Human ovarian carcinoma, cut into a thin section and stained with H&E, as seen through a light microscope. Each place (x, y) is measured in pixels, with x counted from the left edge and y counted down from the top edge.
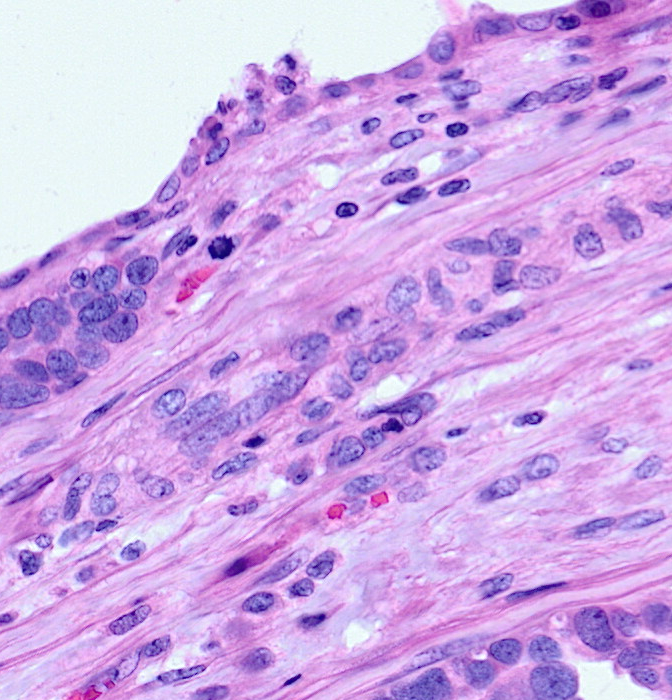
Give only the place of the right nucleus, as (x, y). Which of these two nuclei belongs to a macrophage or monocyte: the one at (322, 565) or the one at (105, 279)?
(322, 565)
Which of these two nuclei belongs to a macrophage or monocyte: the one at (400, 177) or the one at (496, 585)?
(400, 177)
